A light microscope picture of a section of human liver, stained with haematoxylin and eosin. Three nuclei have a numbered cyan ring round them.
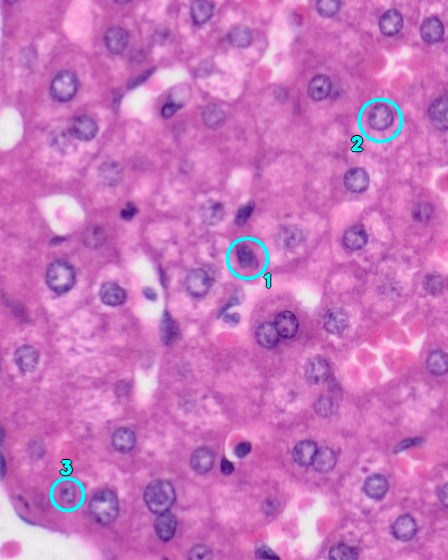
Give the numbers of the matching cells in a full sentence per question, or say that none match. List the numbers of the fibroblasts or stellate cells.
Among the marked cells, a fibroblast or stellate cell is found only at number 1.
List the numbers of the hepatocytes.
Cell 2 is a hepatocyte, and that holds for no other numbered cell.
